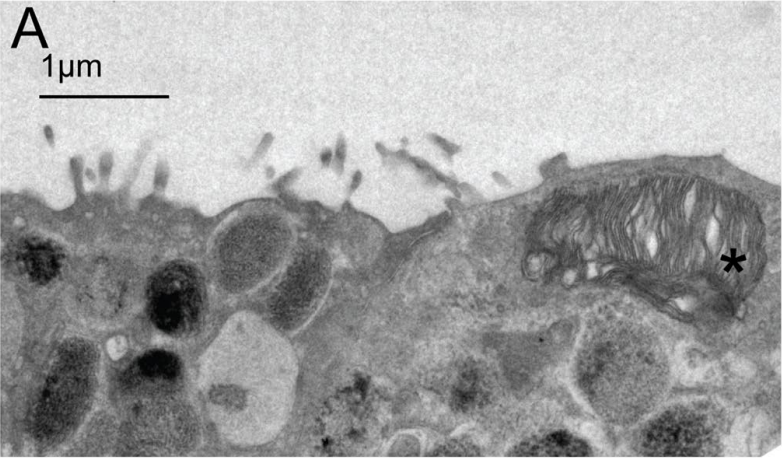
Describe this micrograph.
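This is the apical part of a retinal pigment epithelial cell seen by transmission electron microscopy, with fine finger-like microvilli projecting from its surface into the clear space above. Within the cytoplasm lie several rounded to oval electron-dense bodies of varying darkness, consistent with pigment granules and digestive vesicles, along with a paler round vacuole. At the upper right, close under the surface, lies a large body made of many tightly stacked parallel membrane lamellae. This stacked membrane body is a photoreceptor outer segment being taken up at the apical surface of the cell.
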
